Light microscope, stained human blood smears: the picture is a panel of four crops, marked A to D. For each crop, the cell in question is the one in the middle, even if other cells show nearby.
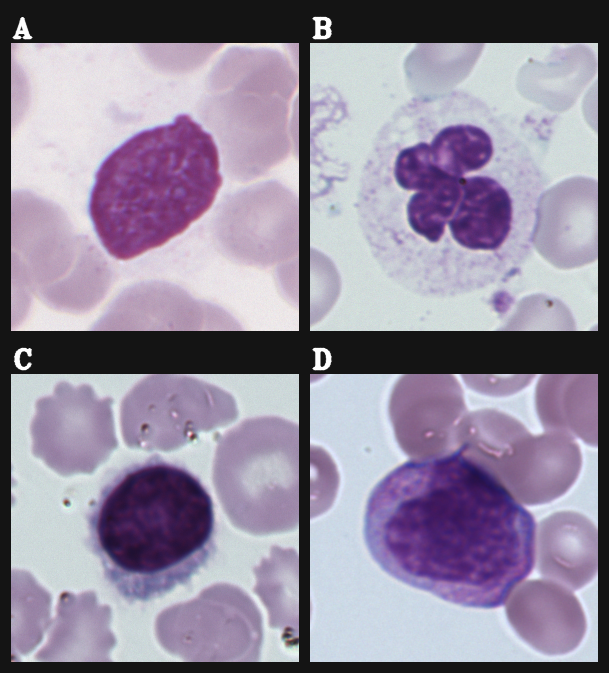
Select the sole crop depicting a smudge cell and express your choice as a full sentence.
Crop A is the one in this set that shows a smudge cell.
